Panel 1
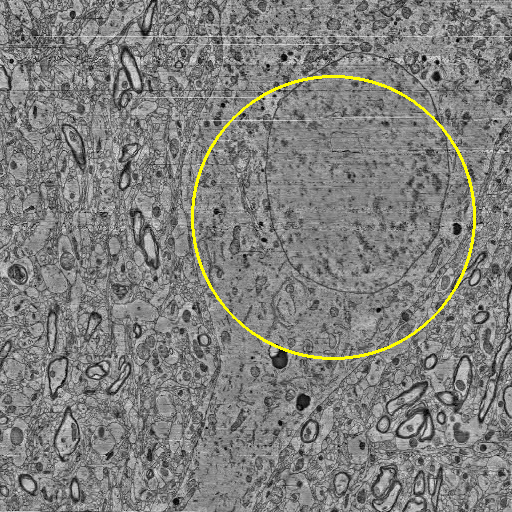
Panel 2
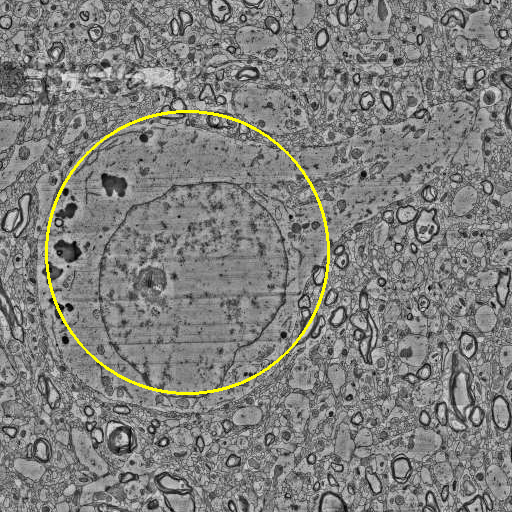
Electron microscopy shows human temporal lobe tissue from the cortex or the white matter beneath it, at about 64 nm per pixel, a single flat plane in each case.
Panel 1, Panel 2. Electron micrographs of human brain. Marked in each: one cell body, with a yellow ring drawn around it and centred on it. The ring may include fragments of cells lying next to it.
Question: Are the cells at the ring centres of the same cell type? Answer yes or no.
yes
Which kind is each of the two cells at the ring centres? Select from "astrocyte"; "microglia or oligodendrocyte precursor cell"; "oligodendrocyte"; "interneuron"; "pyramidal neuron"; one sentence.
In each picture the ringed cell is a pyramidal neuron.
